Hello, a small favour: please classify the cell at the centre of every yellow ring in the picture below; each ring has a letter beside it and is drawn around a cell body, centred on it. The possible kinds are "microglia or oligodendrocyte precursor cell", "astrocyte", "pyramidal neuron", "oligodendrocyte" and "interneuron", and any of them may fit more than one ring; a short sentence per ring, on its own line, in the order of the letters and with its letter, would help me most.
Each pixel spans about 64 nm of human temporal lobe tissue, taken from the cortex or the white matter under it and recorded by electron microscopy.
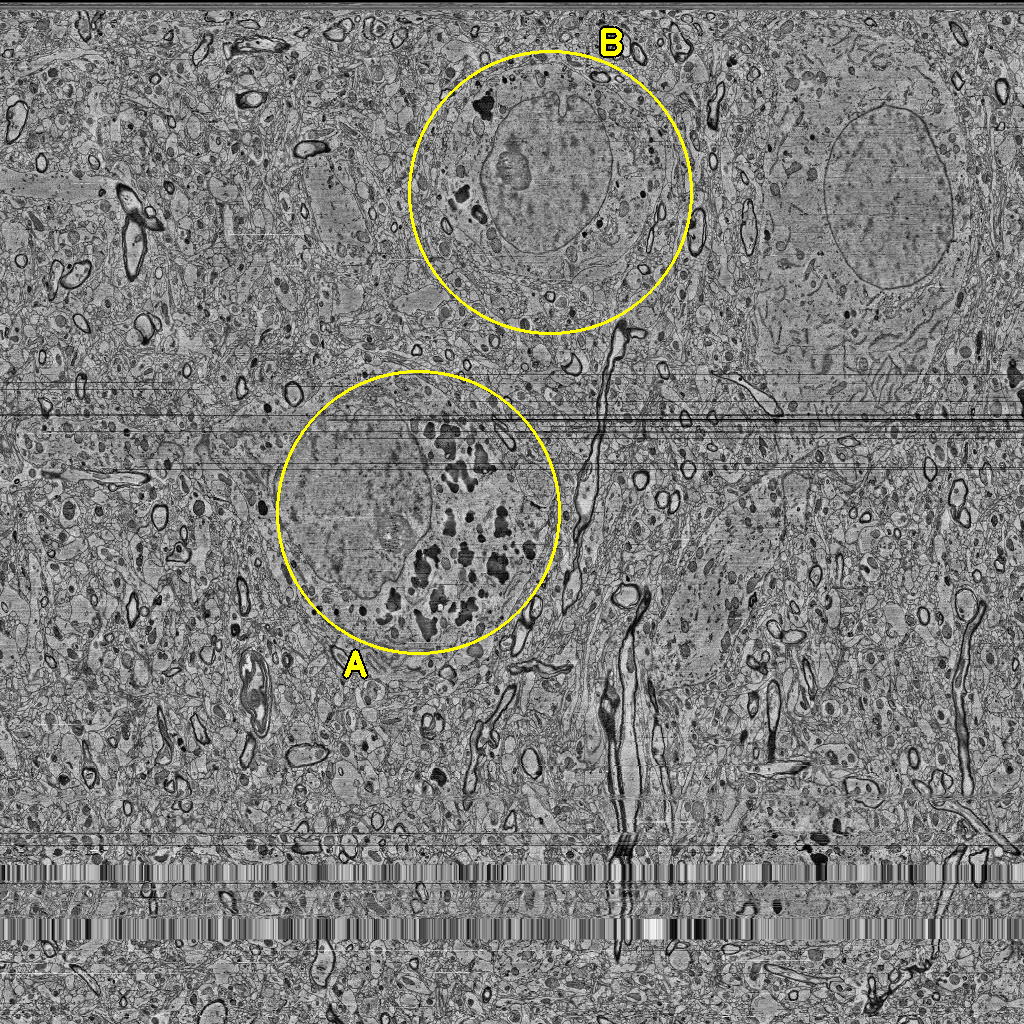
The centre of ring A falls on an interneuron.
The centre of ring B falls on a pyramidal neuron.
